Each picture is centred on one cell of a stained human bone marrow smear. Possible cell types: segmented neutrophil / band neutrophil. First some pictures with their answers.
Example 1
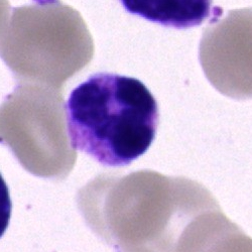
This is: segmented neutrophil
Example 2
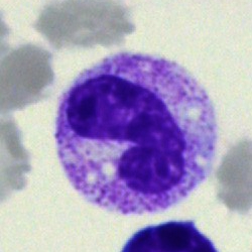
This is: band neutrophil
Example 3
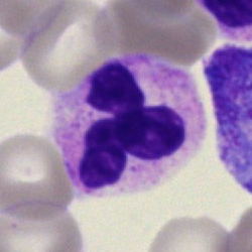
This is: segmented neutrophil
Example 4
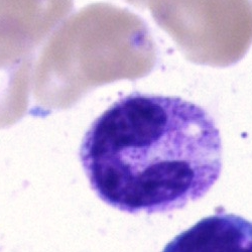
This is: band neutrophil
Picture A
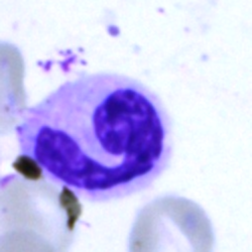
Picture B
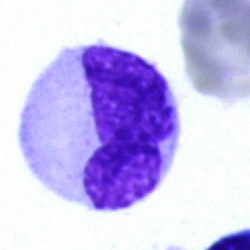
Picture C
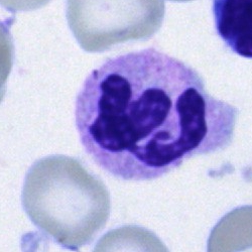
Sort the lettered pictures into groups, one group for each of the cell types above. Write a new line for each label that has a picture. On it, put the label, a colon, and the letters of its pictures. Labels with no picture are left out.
segmented neutrophil: A, C
band neutrophil: B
